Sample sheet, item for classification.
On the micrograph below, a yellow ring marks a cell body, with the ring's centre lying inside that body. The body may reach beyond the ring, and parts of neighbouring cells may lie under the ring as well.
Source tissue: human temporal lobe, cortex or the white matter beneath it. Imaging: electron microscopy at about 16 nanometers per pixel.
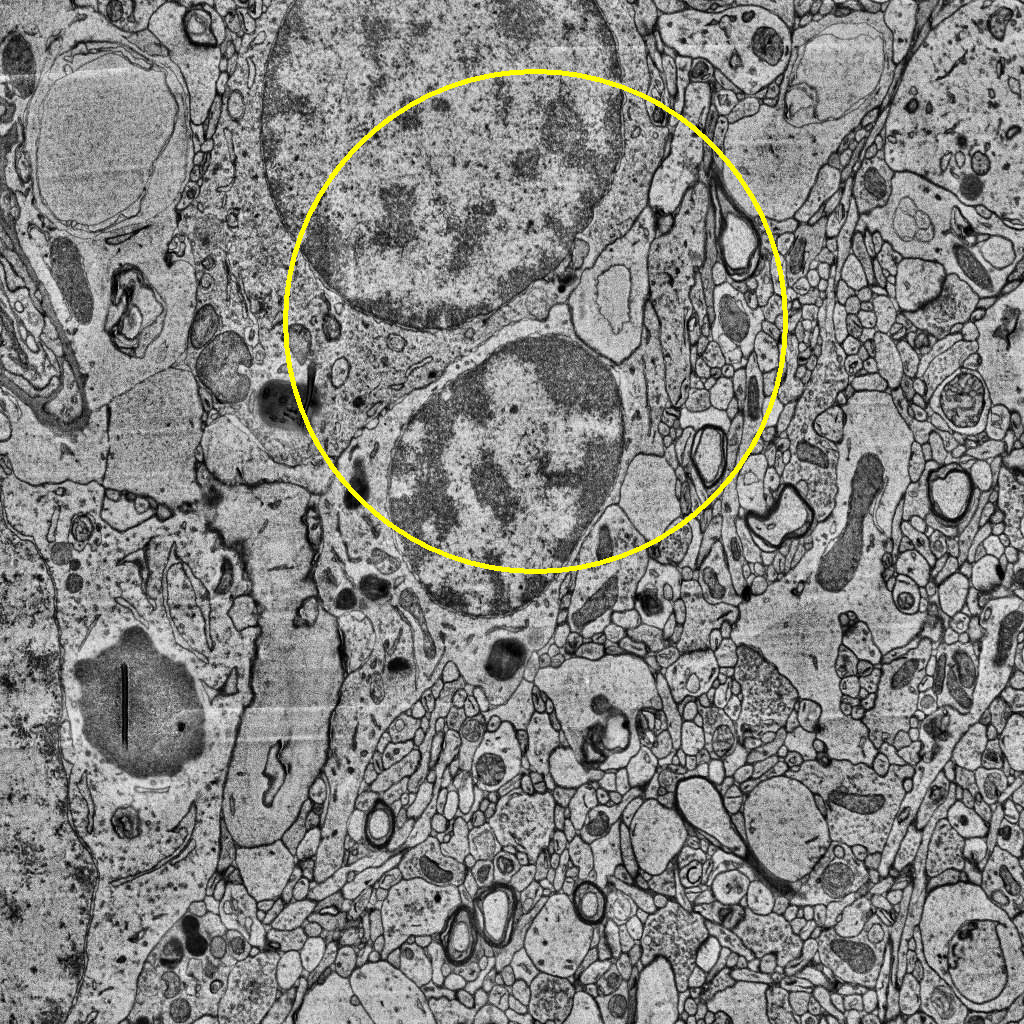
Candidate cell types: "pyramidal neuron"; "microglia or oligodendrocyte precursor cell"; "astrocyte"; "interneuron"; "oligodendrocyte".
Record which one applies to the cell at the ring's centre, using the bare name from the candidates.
microglia or oligodendrocyte precursor cell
